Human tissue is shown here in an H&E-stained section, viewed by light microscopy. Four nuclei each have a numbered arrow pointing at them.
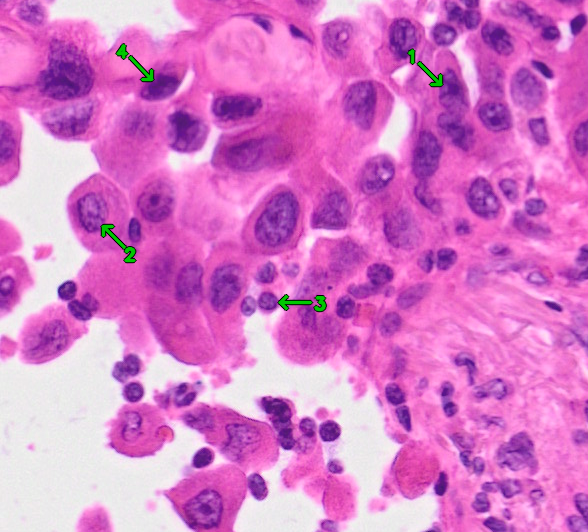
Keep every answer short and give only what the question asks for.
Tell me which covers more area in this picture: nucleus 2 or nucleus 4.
2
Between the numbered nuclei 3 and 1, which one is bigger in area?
1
